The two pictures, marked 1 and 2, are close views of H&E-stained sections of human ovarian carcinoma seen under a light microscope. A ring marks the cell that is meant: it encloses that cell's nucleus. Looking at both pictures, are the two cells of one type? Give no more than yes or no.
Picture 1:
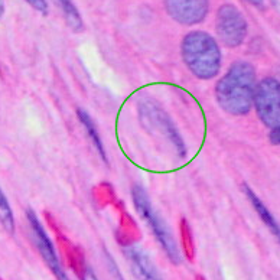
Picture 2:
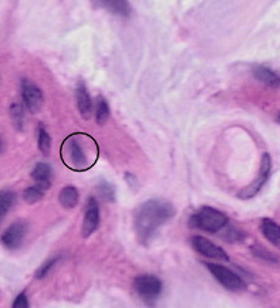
no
